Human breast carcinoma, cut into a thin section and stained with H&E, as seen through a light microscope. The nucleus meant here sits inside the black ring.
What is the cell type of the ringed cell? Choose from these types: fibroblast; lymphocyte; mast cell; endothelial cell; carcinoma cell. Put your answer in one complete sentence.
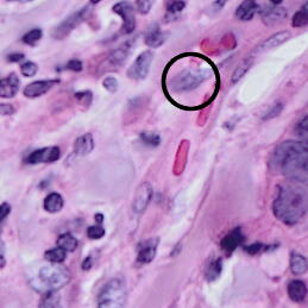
So far as cell type goes, the ringed cell is an endothelial cell.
